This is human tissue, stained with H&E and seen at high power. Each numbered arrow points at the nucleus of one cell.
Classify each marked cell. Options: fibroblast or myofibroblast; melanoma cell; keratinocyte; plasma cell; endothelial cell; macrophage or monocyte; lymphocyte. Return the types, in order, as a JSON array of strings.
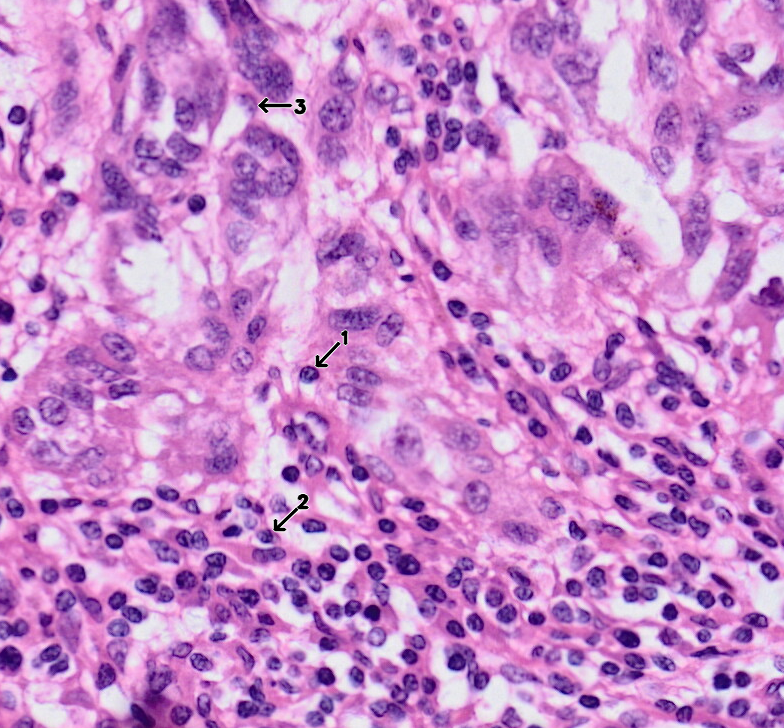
["lymphocyte", "lymphocyte", "melanoma cell"]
